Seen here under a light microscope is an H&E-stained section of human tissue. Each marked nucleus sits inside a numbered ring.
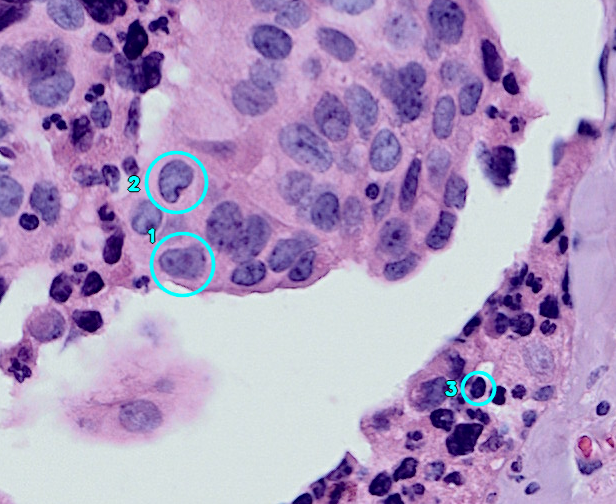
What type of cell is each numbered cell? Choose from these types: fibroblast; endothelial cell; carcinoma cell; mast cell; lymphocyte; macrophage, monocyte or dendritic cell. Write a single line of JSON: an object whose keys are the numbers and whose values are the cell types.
{"1": "carcinoma cell", "2": "carcinoma cell", "3": "lymphocyte"}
